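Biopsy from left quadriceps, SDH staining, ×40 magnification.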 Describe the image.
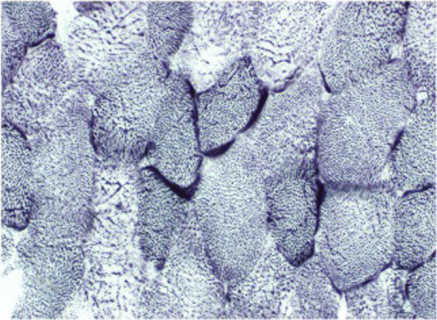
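Skeletal muscle fibres cut in cross-section, showing a stain reaction concentrated beneath the fibre membrane. Fibres differ in depth of colour, some being pale and others more densely purple. Along the outer margin of several fibres runs a darker purple band or crescent, denser than the fibre's interior. No blood vessels or other tissue are prominent between the fibres.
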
